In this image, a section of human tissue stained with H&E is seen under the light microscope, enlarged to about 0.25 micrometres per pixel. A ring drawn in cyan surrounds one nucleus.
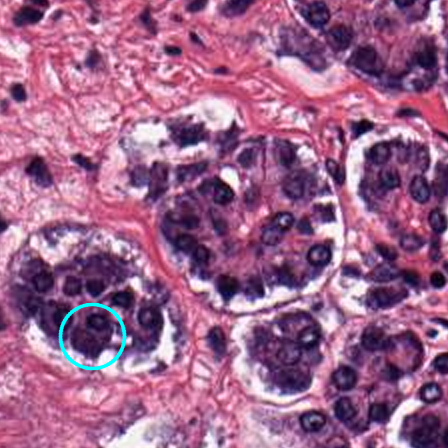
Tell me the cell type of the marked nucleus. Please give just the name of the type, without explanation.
pancreatic acinar cell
